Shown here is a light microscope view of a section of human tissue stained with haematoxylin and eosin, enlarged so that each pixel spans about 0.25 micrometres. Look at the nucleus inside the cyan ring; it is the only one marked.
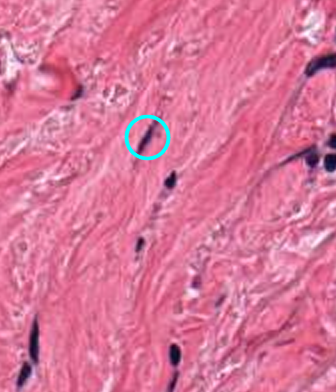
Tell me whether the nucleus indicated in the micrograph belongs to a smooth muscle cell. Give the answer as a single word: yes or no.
no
